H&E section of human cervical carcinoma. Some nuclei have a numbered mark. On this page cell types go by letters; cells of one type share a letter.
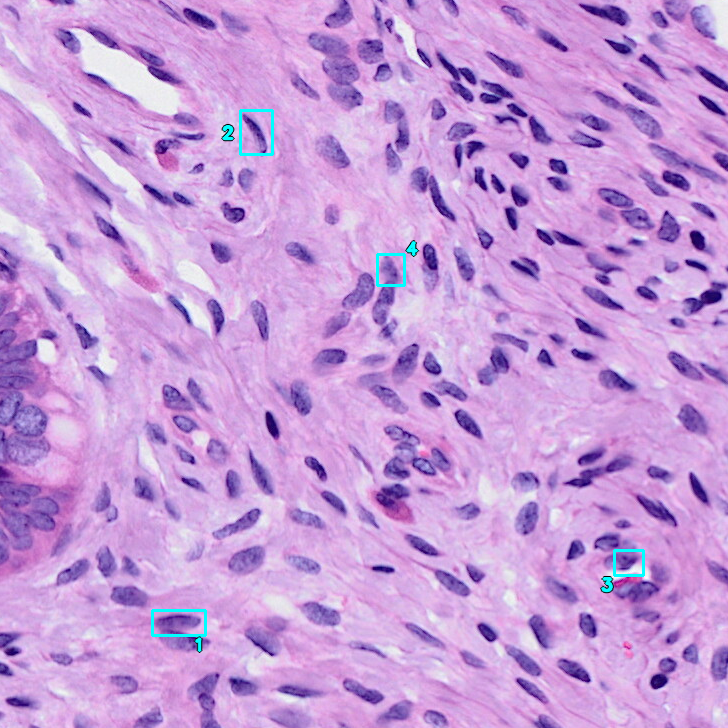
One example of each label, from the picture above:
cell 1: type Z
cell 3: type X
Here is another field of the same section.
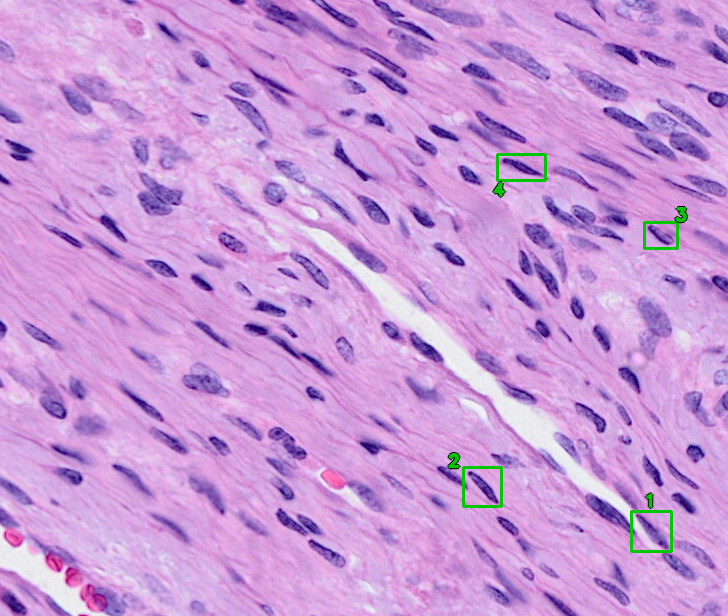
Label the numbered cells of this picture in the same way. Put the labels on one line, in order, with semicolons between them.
type X; type Z; type Z; type Z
